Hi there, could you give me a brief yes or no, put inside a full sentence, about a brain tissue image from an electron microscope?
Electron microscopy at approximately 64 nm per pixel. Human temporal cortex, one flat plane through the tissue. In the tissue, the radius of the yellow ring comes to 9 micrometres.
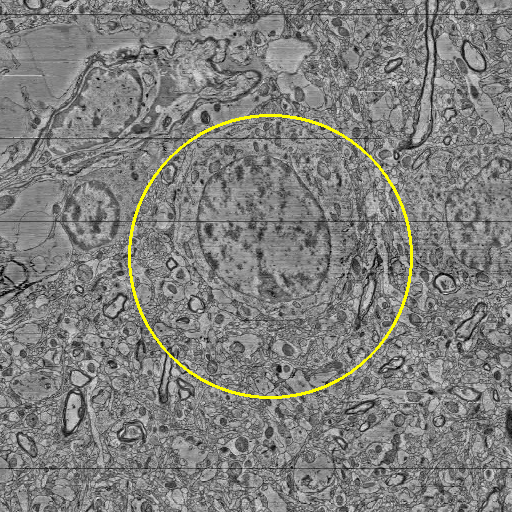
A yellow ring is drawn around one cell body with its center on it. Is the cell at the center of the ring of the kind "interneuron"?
Yes, the cell found at the center of the yellow ring is of that kind.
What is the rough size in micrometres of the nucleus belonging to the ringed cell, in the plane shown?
In this plane, the nucleus is roughly 10 by 8 micrometres.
